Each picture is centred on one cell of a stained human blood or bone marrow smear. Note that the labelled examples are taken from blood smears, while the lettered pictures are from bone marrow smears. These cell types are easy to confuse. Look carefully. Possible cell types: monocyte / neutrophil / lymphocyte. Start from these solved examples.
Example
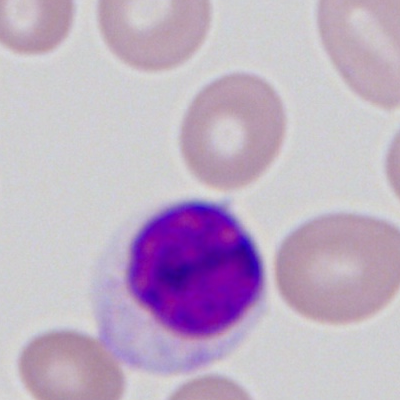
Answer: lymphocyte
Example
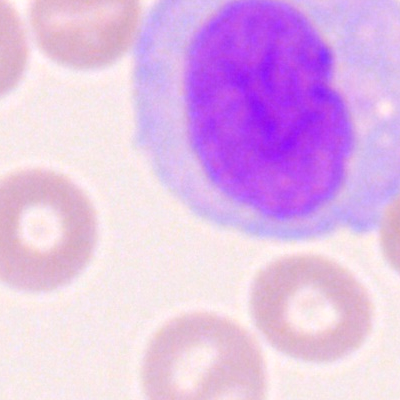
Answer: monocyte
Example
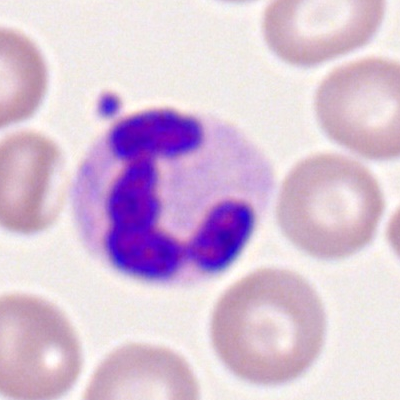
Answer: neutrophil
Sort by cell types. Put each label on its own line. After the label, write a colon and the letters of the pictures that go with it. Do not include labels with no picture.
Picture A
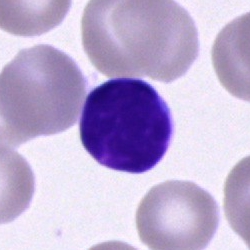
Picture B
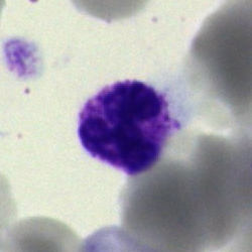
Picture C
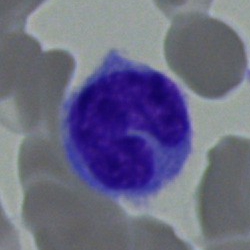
monocyte: C
neutrophil: B
lymphocyte: A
